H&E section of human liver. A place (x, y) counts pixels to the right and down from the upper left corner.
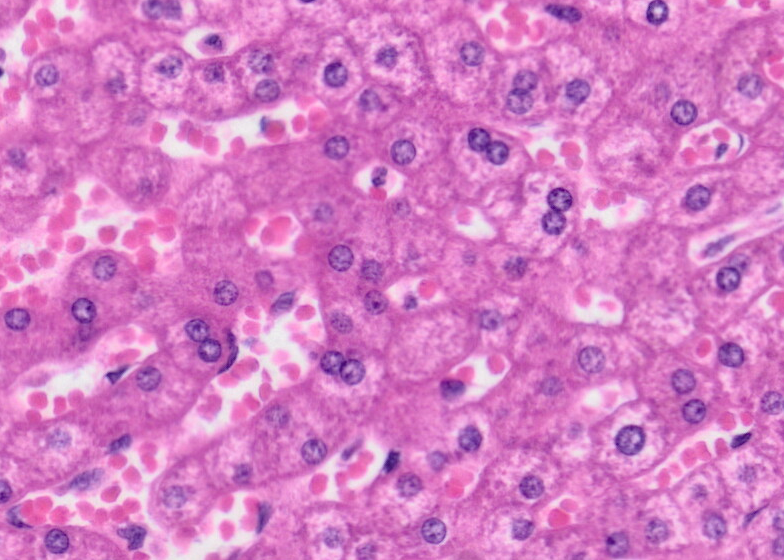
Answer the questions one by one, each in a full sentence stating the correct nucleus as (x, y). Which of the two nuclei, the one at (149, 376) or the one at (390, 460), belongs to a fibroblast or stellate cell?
The nucleus at (390, 460) is housed in a fibroblast or stellate cell.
